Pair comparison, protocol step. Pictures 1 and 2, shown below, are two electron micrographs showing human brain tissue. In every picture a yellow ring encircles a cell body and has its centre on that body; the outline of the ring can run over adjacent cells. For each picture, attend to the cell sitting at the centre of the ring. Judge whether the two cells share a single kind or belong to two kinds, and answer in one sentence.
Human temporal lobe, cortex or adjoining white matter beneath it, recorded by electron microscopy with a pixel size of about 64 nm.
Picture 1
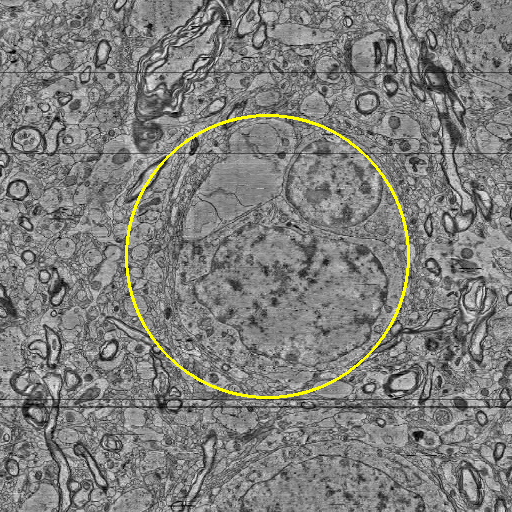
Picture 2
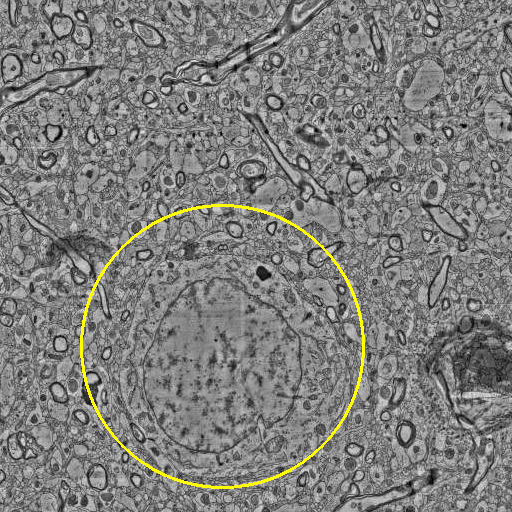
The two cells at the ring centres in Picture 1 and Picture 2 belong to two kinds.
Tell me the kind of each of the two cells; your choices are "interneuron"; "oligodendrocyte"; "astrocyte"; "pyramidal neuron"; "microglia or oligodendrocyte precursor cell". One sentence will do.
The ringed cell is an interneuron in the first picture and a pyramidal neuron in the second picture.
